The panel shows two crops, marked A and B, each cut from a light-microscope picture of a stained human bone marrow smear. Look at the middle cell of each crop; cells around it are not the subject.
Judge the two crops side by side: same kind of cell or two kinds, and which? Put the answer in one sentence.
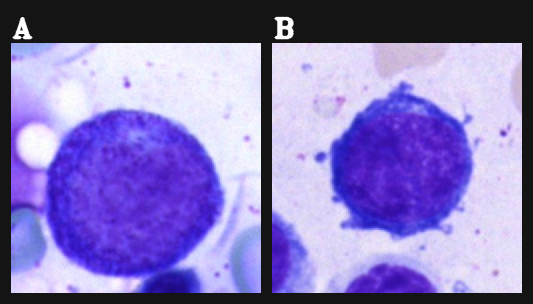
No, a promyelocyte occupies the middle of crop A, and a proerythroblast the middle of crop B.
